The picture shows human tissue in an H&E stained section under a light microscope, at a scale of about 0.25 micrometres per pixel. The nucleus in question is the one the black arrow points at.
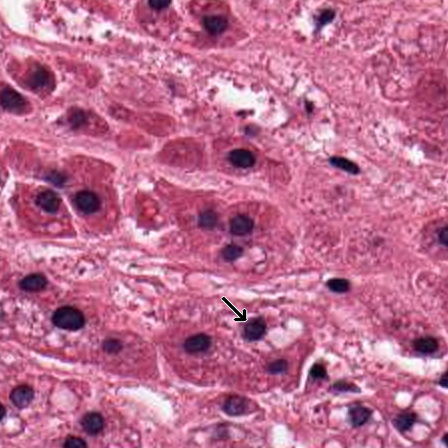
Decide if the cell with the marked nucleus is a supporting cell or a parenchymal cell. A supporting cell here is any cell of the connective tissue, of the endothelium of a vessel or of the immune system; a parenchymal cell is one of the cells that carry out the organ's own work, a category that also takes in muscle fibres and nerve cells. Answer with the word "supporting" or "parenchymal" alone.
parenchymal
